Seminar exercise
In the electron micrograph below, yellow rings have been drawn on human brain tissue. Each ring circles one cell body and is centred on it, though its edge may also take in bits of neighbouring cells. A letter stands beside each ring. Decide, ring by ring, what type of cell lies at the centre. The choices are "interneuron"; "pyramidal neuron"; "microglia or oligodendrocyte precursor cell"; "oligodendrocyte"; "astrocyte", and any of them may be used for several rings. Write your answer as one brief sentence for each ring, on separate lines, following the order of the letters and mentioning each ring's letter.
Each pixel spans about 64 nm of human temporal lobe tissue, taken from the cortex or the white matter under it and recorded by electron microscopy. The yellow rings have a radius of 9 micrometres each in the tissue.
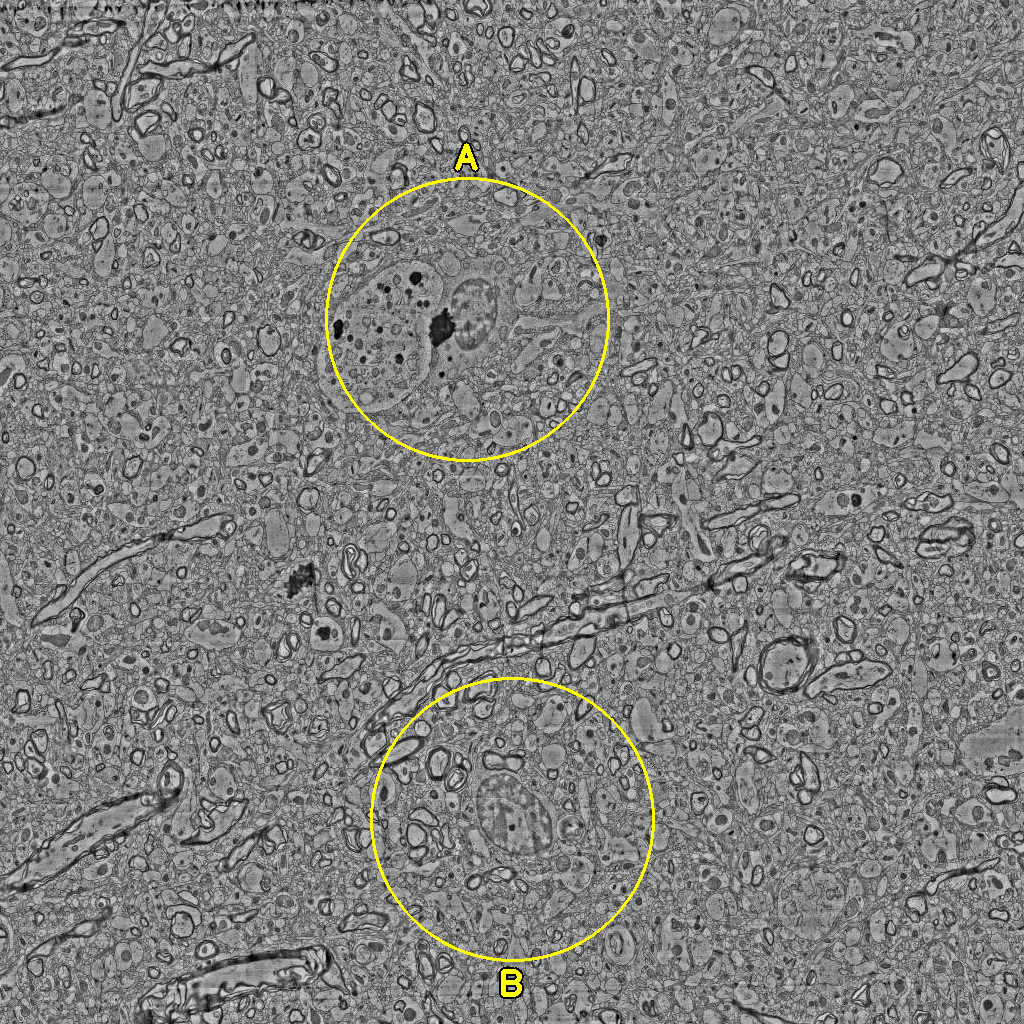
The cell in the middle of ring A is an oligodendrocyte.
The cell in the middle of ring B is an oligodendrocyte.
